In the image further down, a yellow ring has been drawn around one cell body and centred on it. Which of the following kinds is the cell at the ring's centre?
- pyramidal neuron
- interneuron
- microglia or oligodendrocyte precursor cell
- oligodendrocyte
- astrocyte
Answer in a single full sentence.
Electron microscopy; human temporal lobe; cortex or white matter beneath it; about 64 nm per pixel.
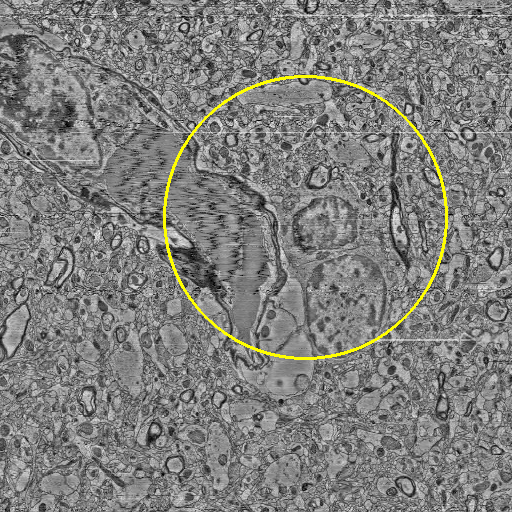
In the picture, the cell sitting at the centre of the yellow ring is an oligodendrocyte.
